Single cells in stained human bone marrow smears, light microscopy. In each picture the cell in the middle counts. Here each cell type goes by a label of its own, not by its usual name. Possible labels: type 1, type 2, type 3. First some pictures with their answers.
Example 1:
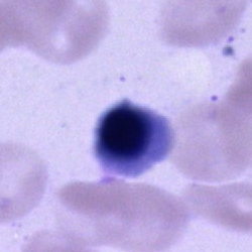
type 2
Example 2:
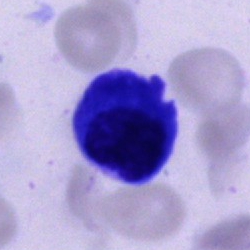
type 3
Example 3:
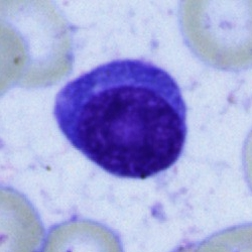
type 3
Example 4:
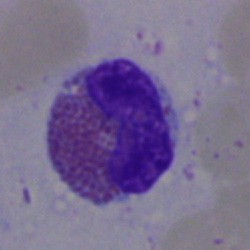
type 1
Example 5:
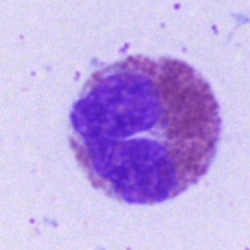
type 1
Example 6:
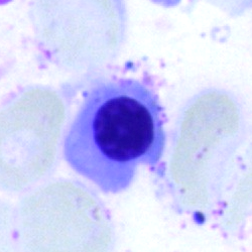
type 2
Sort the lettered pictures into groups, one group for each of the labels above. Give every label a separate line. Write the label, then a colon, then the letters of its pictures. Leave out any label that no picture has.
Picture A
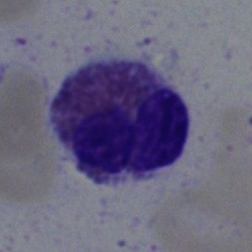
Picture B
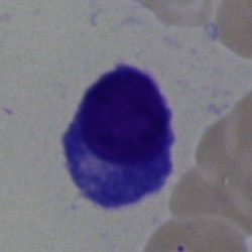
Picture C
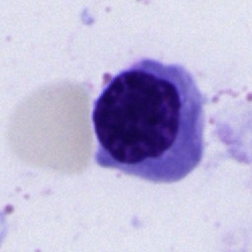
type 1: A
type 2: C
type 3: B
